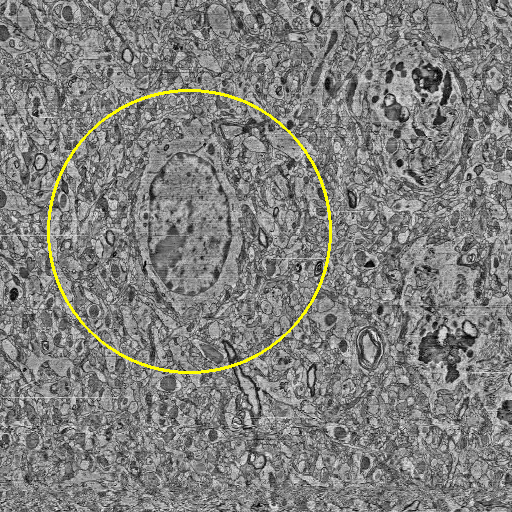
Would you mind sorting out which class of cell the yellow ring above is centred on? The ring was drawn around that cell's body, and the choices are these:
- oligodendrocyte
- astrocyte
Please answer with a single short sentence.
This is the cell body of an astrocyte.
